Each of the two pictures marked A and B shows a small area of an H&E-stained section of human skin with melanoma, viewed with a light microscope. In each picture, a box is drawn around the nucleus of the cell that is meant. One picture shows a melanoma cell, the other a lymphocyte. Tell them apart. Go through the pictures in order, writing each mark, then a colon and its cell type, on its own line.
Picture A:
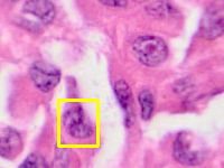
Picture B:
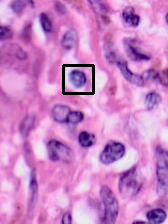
A: melanoma cell
B: lymphocyte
